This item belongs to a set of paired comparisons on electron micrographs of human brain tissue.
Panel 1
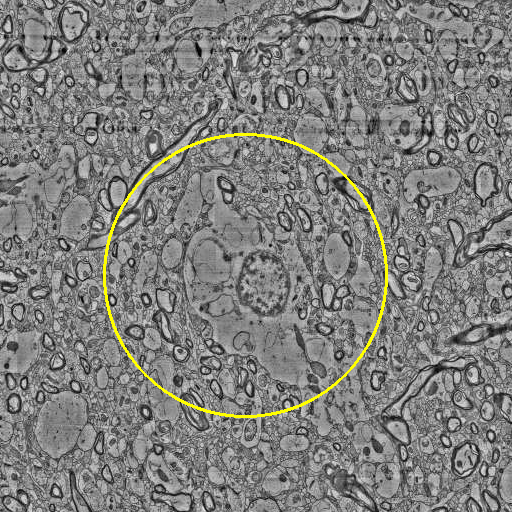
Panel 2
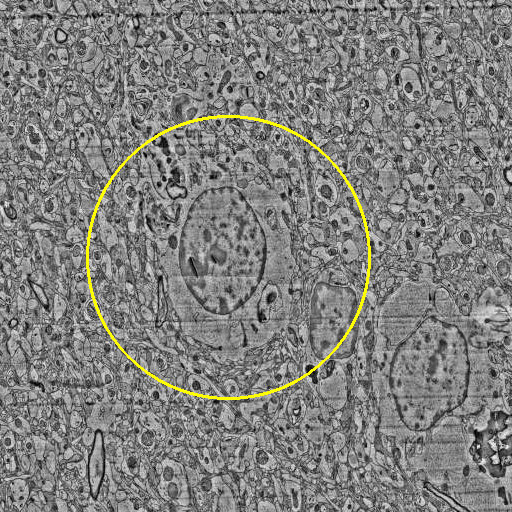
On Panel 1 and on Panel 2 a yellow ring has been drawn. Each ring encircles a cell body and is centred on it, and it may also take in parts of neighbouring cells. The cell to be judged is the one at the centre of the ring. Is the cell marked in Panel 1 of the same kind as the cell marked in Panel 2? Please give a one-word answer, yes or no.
yes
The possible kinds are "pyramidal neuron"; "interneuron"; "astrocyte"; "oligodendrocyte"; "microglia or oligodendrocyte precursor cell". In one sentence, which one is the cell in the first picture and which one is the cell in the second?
The ring centre holds an astrocyte in each of the two pictures.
